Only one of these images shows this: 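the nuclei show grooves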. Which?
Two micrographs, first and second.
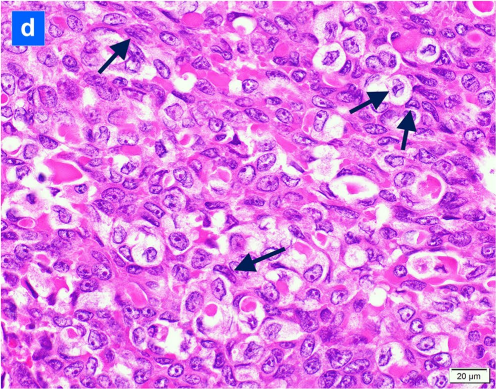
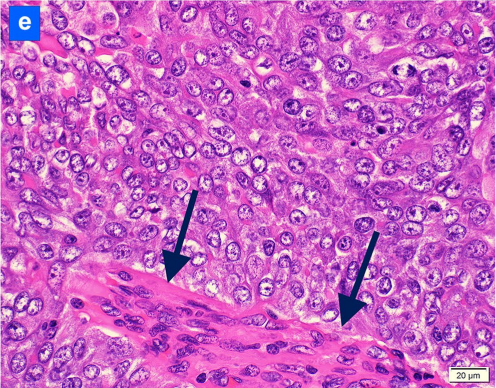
The first image.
